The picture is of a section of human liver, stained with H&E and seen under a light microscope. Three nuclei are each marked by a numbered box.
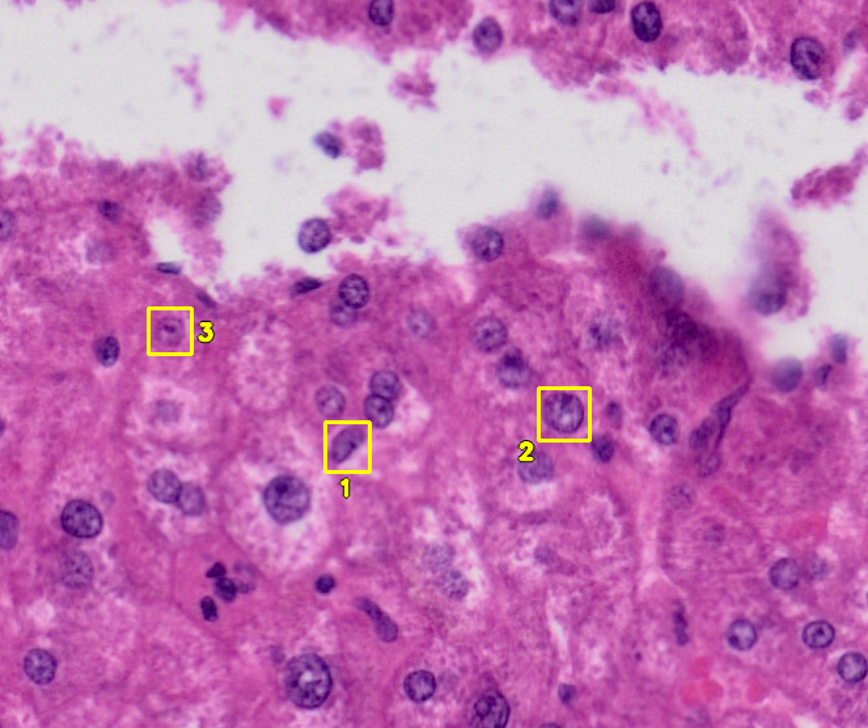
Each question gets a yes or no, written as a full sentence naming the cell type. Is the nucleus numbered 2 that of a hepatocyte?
Yes, the cell bearing the number 2 is a hepatocyte.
